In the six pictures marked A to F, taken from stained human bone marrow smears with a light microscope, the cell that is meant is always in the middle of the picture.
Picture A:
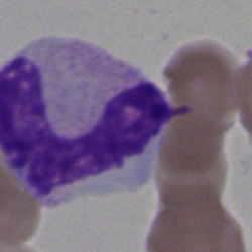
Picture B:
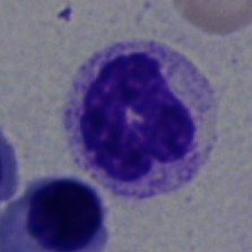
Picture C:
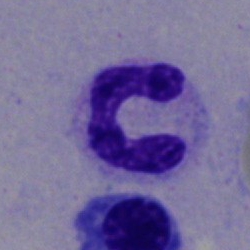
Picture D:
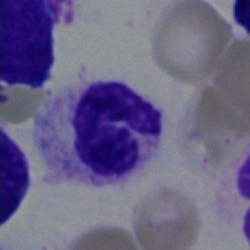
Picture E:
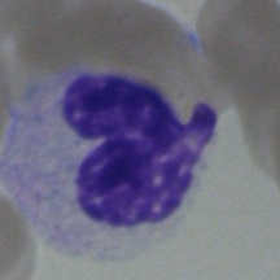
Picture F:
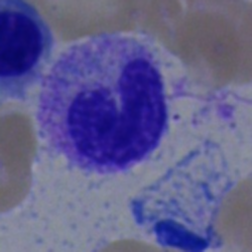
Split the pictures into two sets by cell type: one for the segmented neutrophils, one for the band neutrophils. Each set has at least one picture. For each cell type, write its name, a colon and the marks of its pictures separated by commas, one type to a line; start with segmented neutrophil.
segmented neutrophil: C, D
band neutrophil: A, B, E, F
